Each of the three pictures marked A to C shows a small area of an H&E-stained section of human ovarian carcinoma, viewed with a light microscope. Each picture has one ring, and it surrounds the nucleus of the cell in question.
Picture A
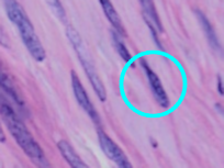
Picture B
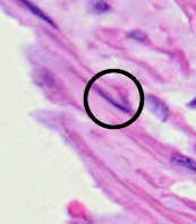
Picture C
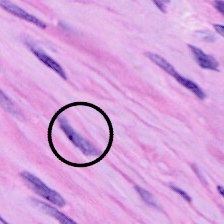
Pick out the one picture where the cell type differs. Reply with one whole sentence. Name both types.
All pictures except B show smooth muscle cells; picture B shows a fibroblast.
